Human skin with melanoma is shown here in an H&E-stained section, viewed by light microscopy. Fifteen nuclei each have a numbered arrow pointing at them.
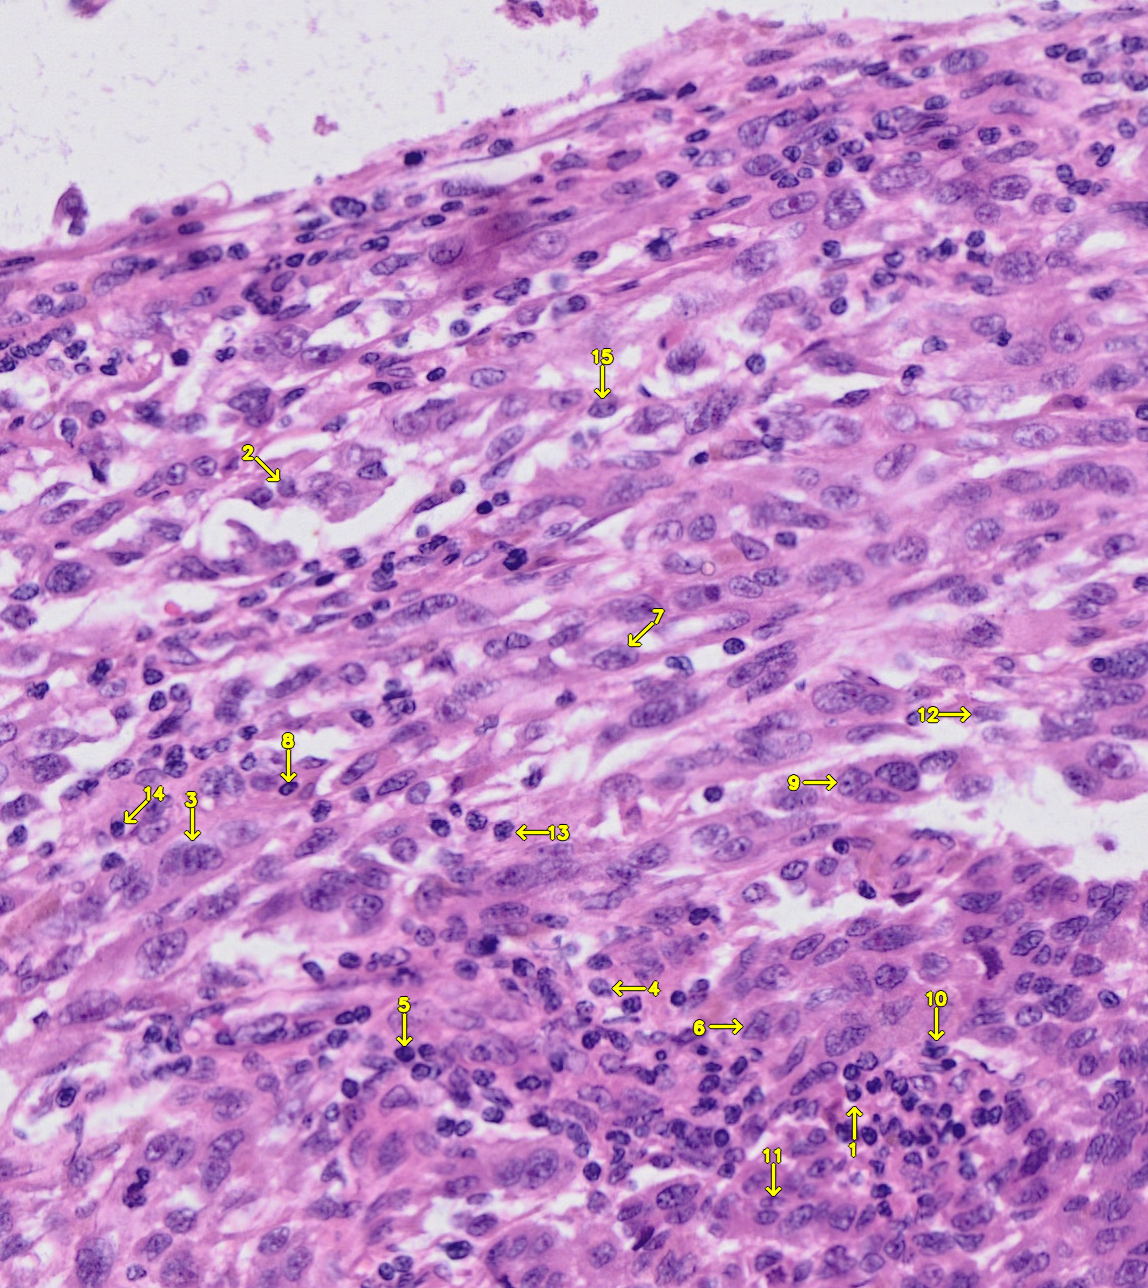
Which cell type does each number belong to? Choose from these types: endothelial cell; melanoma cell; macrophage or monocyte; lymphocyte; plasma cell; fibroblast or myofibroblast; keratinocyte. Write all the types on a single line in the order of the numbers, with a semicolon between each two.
lymphocyte; melanoma cell; melanoma cell; lymphocyte; lymphocyte; melanoma cell; melanoma cell; lymphocyte; melanoma cell; lymphocyte; melanoma cell; melanoma cell; lymphocyte; lymphocyte; macrophage or monocyte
